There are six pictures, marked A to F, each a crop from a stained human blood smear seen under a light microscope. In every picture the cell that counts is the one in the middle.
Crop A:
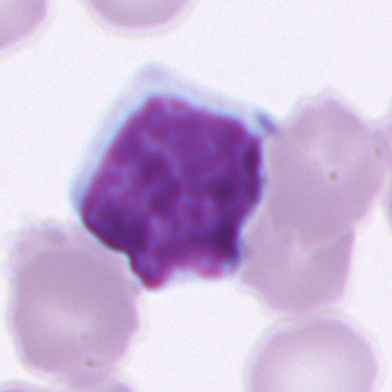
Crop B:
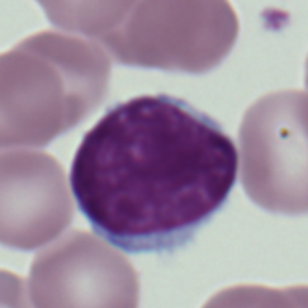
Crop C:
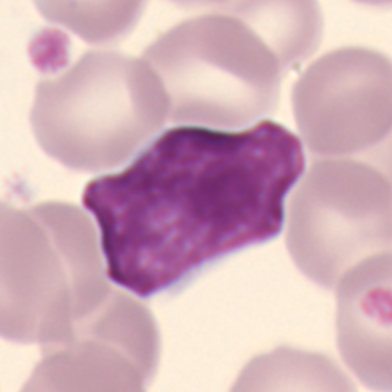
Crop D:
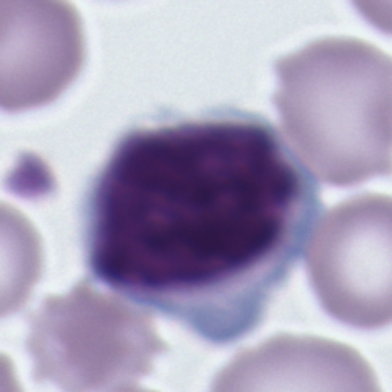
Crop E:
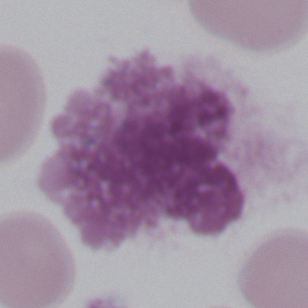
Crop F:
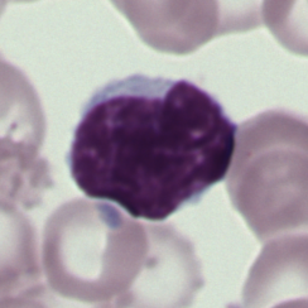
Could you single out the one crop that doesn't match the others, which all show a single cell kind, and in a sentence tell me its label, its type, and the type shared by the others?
Unlike the other crops, all showing typical lymphocytes, crop E is a smudge cell.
